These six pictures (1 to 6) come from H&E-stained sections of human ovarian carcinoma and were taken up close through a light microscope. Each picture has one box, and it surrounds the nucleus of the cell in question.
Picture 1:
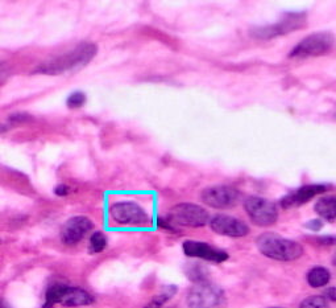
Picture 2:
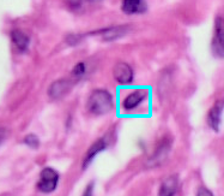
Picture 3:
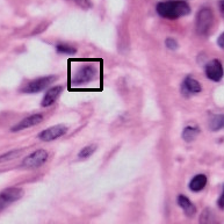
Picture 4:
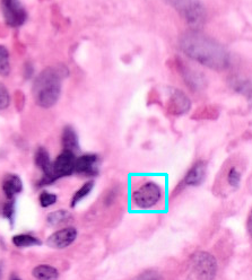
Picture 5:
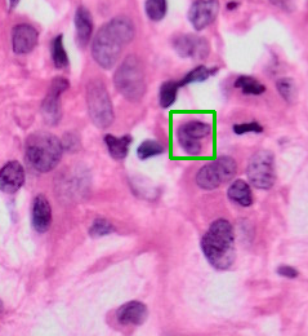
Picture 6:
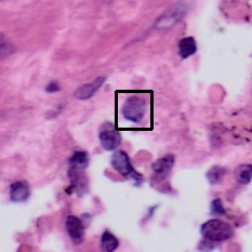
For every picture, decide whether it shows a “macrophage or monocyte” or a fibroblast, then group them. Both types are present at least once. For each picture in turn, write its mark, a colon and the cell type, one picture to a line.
1: macrophage or monocyte
2: fibroblast
3: fibroblast
4: macrophage or monocyte
5: macrophage or monocyte
6: macrophage or monocyte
